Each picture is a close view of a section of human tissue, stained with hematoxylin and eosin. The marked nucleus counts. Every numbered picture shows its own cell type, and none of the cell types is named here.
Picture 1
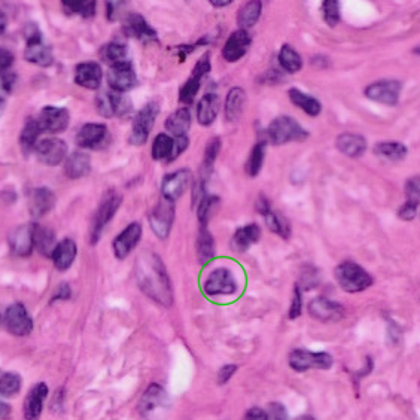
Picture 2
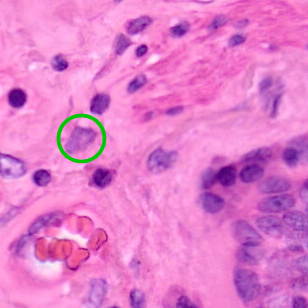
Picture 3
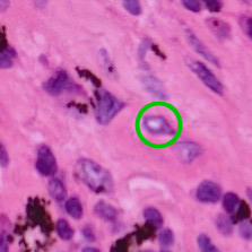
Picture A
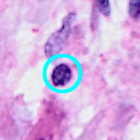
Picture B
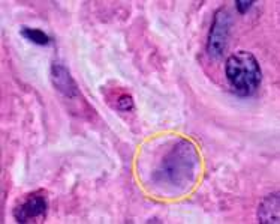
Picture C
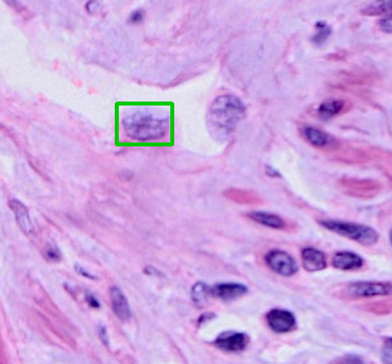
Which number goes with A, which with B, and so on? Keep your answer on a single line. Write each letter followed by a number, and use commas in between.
A 1, B 2, C 3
